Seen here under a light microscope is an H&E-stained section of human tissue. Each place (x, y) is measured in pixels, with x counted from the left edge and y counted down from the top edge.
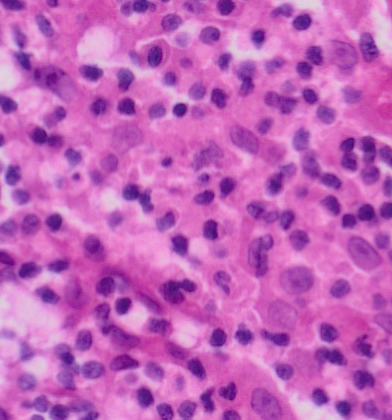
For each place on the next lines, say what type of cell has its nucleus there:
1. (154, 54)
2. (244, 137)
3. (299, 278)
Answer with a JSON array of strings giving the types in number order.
["plasma cell", "squamous epithelial cell", "squamous epithelial cell"]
